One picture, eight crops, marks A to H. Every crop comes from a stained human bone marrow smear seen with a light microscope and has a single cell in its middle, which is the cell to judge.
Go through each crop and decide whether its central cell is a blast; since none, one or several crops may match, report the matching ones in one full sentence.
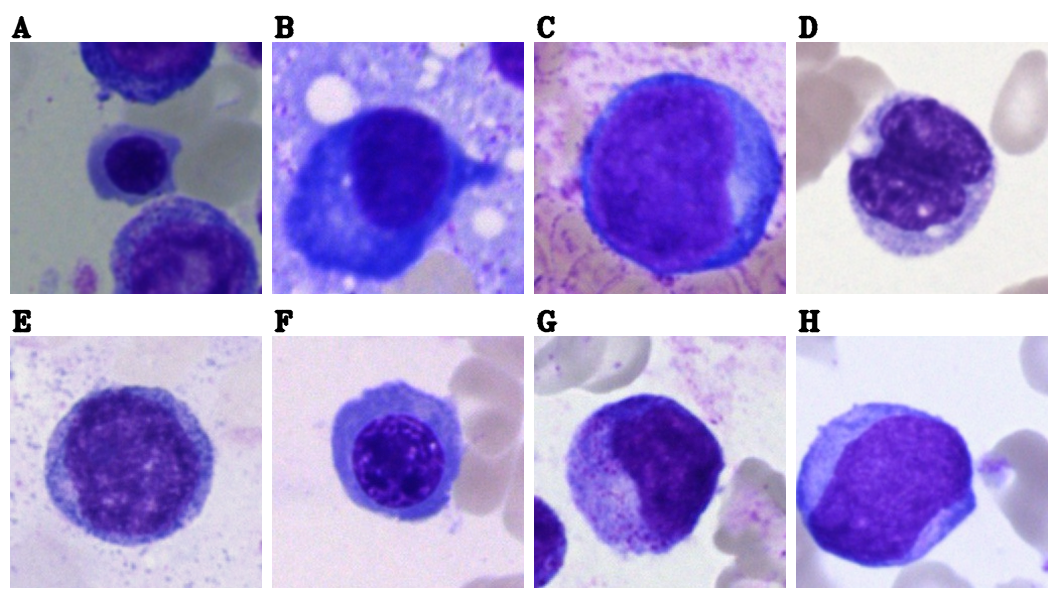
Crops C, E and H show blasts as their middle cells.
